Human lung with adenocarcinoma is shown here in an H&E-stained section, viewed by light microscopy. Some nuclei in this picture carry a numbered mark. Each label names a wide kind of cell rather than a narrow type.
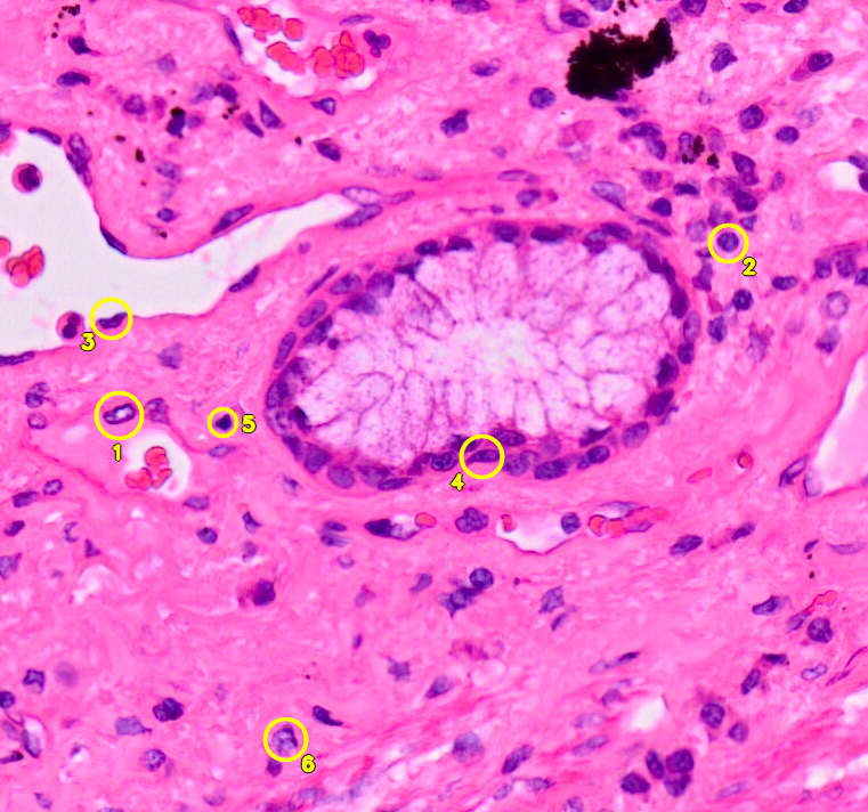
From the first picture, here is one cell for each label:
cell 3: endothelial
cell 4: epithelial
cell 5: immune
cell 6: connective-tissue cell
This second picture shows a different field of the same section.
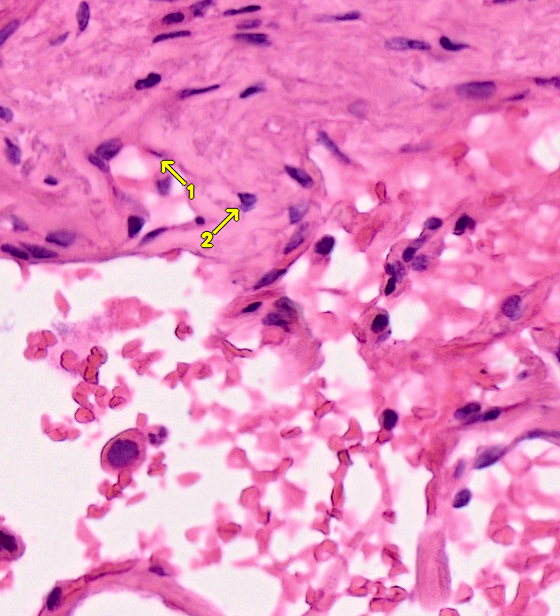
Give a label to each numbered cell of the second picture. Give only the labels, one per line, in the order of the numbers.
endothelial
connective-tissue cell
